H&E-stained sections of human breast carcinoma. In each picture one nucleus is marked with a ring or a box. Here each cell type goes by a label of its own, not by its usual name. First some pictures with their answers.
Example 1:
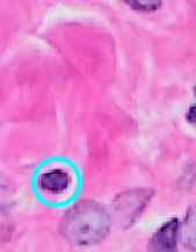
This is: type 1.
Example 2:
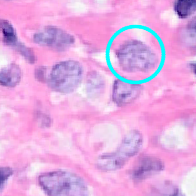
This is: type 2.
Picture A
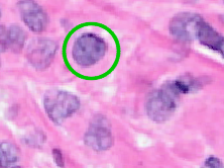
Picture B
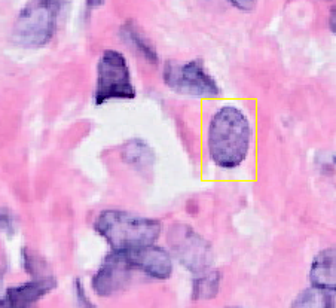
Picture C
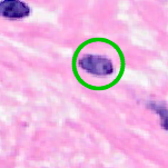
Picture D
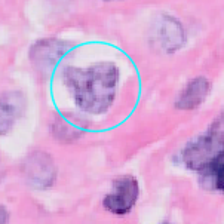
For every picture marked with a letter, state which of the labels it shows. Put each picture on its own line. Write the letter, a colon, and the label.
A: type 2.
B: type 2.
C: type 1.
D: type 2.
